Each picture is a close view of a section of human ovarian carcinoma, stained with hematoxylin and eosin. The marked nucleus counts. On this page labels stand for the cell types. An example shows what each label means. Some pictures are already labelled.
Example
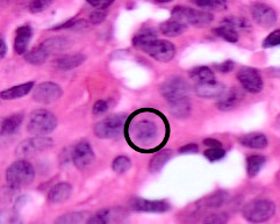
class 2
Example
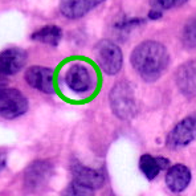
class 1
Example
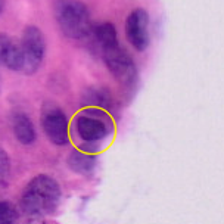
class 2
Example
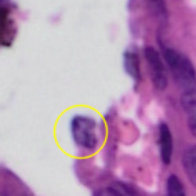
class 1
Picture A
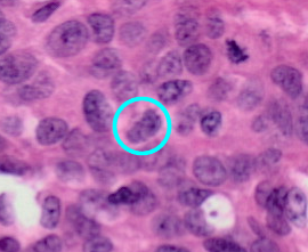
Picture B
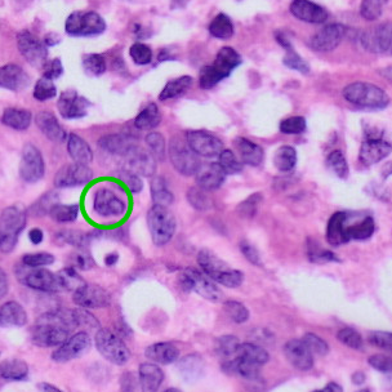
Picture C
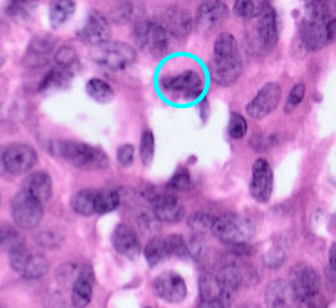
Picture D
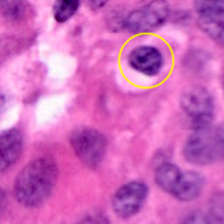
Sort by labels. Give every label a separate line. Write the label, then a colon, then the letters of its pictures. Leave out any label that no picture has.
class 1: A, B, C, D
